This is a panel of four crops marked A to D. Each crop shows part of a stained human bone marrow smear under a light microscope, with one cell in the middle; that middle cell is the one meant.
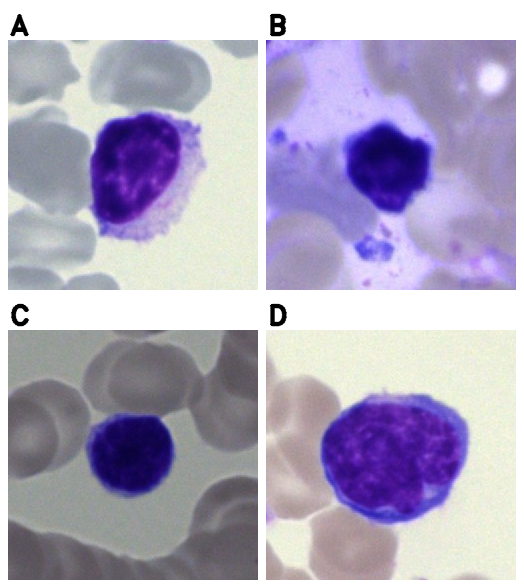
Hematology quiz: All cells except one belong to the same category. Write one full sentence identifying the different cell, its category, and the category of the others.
In this set the other crops all show lymphocytes, and crop D shows a blast.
